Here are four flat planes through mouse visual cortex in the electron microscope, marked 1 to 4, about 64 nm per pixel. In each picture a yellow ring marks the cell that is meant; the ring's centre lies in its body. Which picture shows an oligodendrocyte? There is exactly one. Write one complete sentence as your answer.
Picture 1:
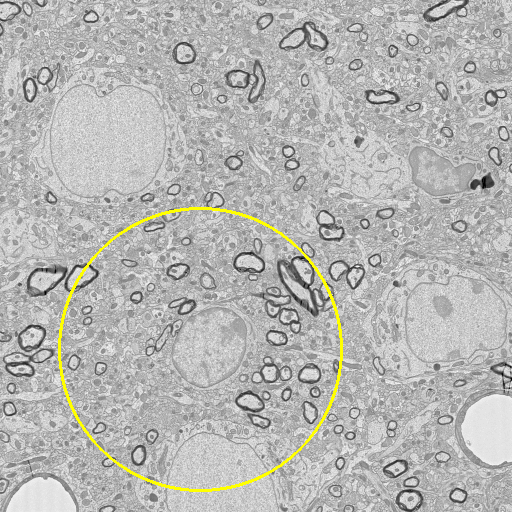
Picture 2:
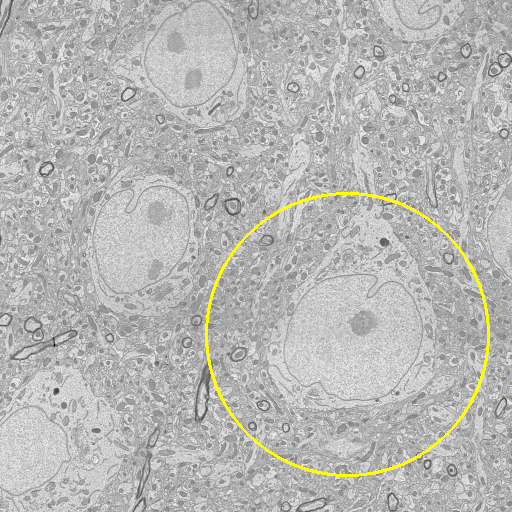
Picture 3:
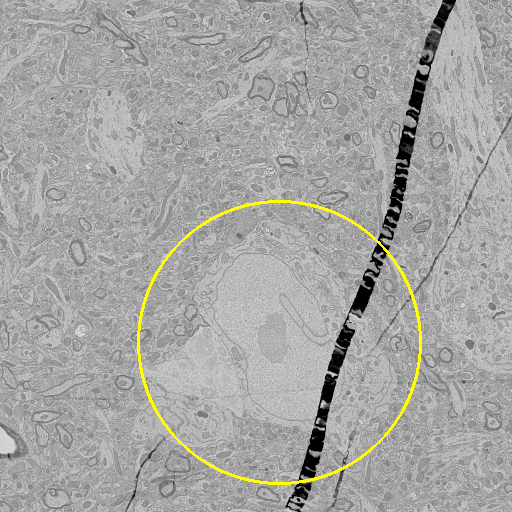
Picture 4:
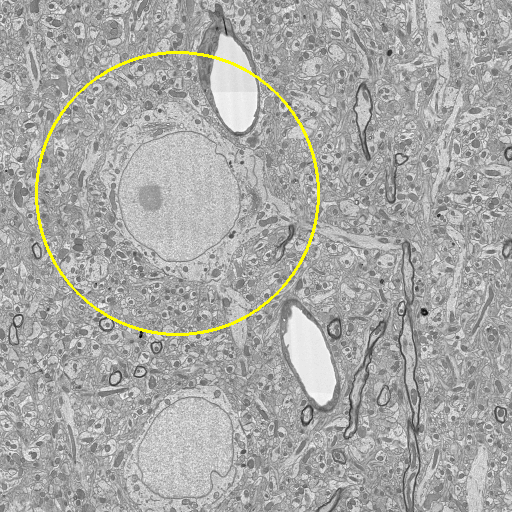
Picture 1 shows the oligodendrocyte.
